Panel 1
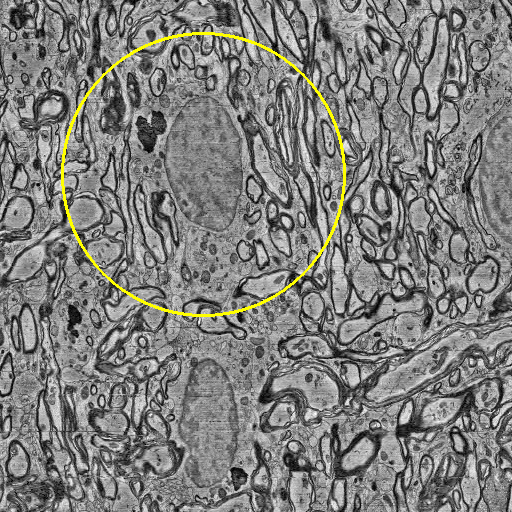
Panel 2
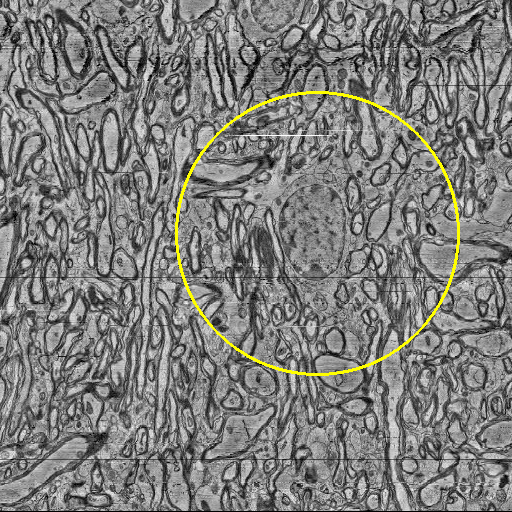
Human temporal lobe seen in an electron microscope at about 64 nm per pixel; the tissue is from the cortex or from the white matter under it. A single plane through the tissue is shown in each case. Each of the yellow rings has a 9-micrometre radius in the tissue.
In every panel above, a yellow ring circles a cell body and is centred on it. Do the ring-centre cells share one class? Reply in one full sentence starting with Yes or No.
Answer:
No, the two cells at the ring centres in the panels belong to two classes.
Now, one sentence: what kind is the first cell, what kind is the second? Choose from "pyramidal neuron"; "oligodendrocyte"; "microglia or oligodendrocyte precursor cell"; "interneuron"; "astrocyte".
The first picture has an oligodendrocyte at its ring centre, and the second has a microglial cell or oligodendrocyte precursor cell.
